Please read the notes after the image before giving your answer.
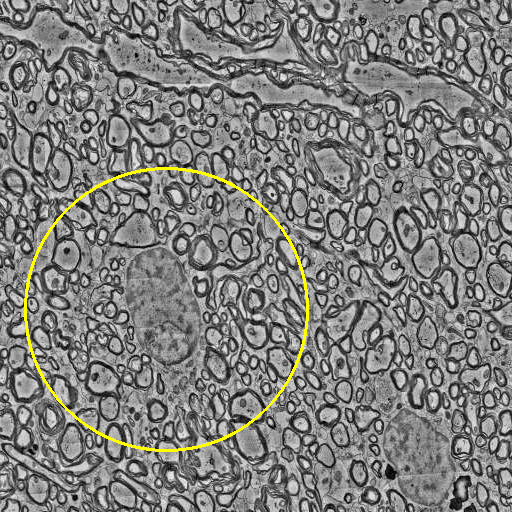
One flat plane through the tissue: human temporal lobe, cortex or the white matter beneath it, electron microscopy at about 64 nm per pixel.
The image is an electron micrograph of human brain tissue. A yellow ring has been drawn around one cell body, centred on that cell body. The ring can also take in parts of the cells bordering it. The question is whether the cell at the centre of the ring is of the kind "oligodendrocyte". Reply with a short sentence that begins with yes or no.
Yes, the cell at the centre is of that kind.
